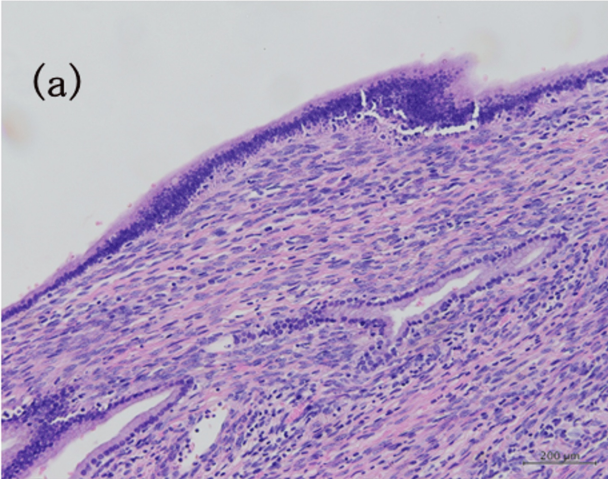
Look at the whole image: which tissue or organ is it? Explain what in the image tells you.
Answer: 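Densely cellular stroma of plump spindle cells lies beneath the lining. Spindle nuclei are closely packed in streaming arrangement. On this evidence: Ovarian-like stroma.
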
